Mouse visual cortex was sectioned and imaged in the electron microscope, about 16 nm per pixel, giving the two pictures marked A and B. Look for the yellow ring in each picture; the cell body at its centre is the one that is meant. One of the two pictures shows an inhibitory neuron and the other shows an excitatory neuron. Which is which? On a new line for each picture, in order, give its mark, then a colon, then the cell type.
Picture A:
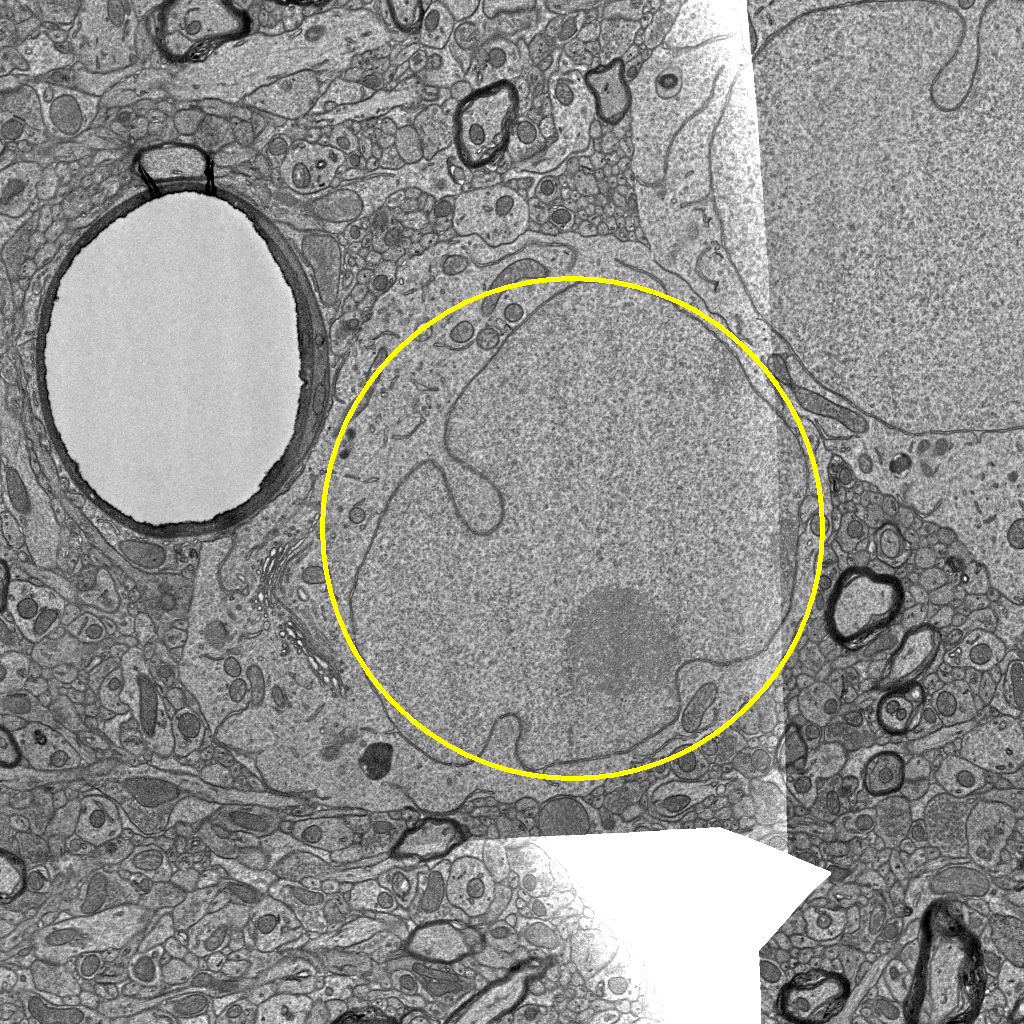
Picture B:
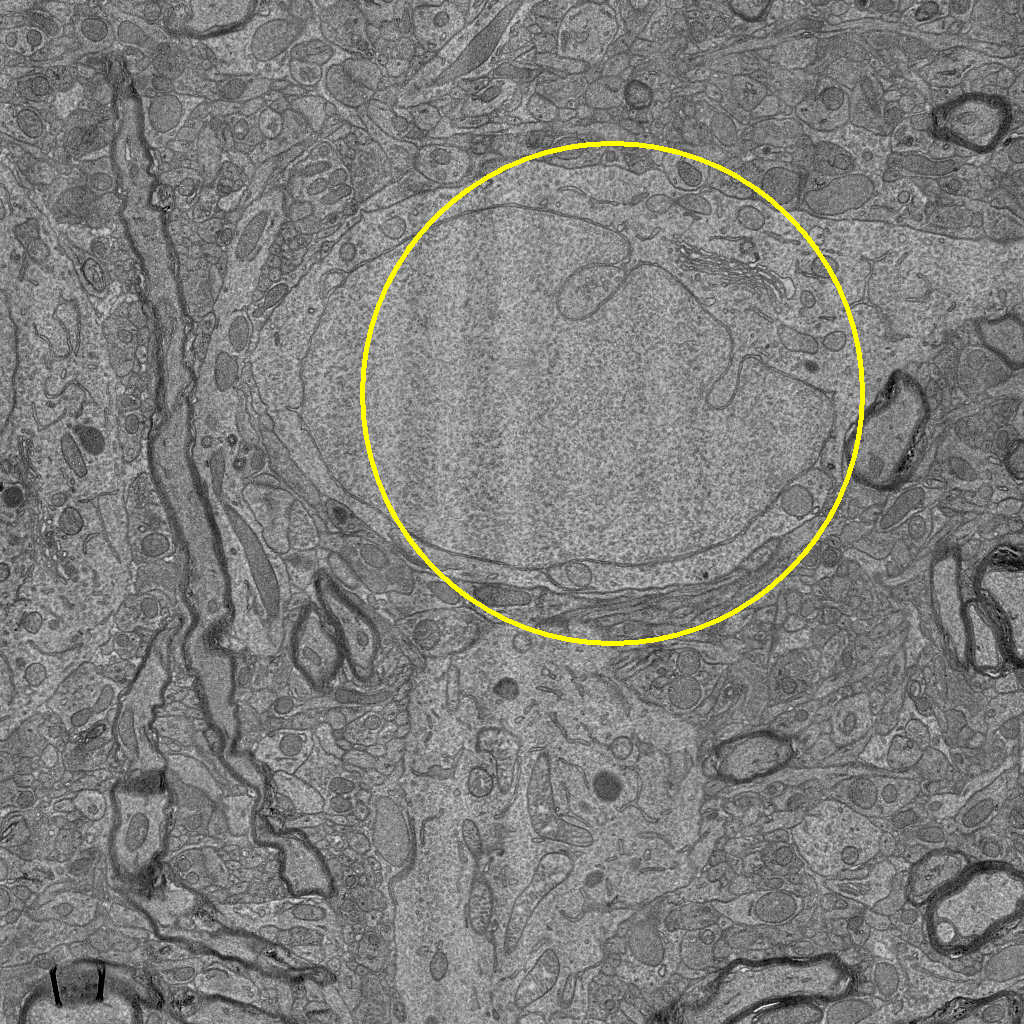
A: excitatory neuron
B: inhibitory neuron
